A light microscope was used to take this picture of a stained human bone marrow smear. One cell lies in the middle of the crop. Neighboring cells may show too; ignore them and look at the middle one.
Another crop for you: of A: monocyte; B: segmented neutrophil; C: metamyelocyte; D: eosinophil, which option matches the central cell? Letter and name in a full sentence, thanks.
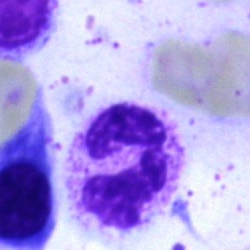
The central cell, a segmented neutrophil, is correctly identified by option B.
